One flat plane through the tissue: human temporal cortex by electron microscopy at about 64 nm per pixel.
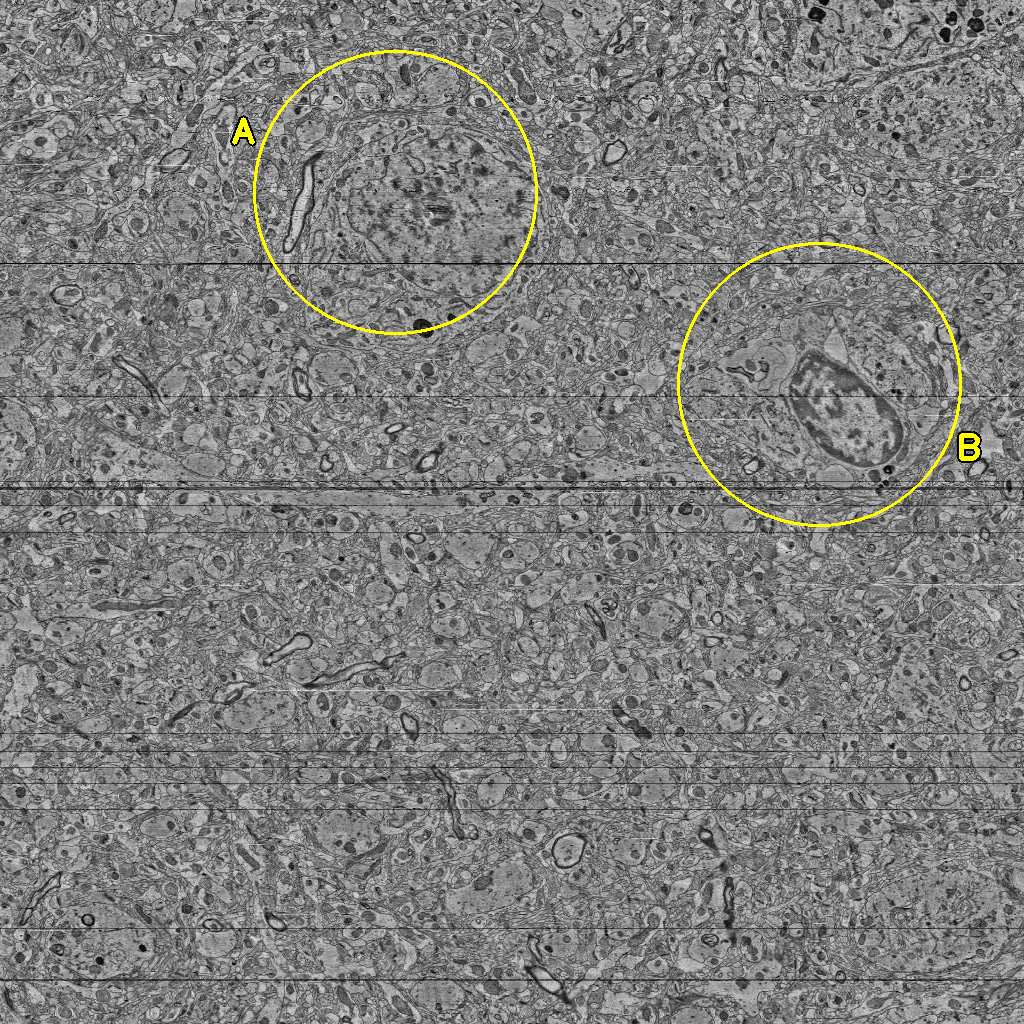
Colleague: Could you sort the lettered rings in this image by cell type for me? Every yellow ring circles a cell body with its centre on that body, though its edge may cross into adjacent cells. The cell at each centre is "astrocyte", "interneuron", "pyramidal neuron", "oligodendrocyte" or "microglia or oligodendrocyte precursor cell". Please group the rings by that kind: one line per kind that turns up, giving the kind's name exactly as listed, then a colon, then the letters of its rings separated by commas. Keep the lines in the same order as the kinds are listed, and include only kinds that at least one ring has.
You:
interneuron: A
microglia or oligodendrocyte precursor cell: B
